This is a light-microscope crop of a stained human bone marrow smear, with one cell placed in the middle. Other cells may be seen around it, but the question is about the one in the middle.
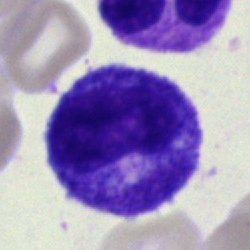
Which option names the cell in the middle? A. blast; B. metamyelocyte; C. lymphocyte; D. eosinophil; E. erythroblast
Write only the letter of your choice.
B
